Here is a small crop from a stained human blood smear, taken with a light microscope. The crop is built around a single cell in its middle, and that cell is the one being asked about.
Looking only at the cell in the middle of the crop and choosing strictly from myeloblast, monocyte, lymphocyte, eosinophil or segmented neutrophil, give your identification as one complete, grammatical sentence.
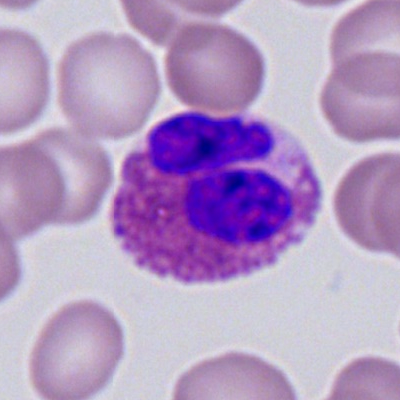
The cell occupying the middle of the crop is an eosinophil.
